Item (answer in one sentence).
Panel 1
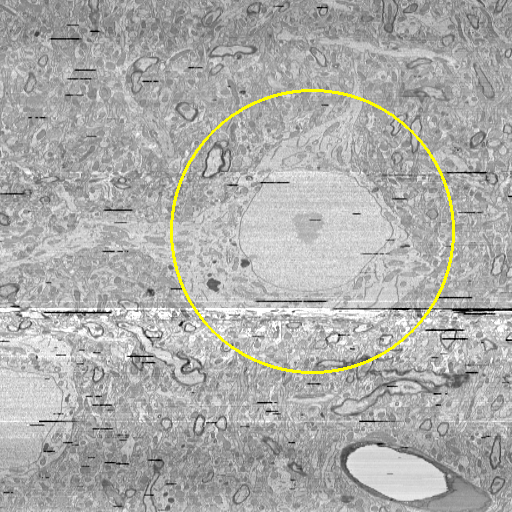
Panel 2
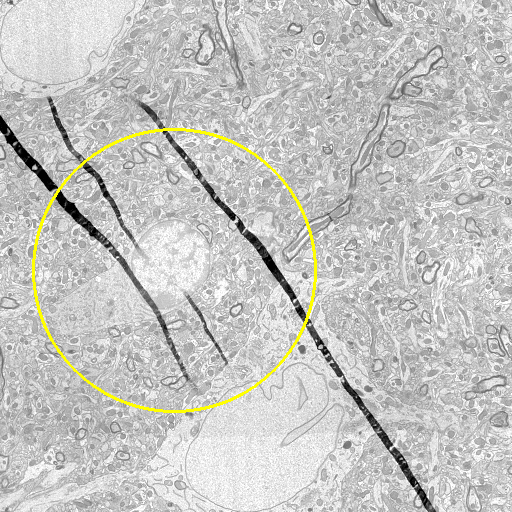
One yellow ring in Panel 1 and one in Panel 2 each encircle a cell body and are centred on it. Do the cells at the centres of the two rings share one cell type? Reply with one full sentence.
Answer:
No, Panel 1 and Panel 2 show cells of two types at the centres of their rings.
